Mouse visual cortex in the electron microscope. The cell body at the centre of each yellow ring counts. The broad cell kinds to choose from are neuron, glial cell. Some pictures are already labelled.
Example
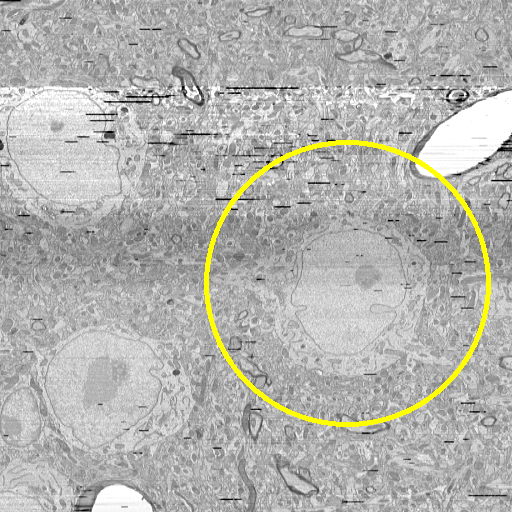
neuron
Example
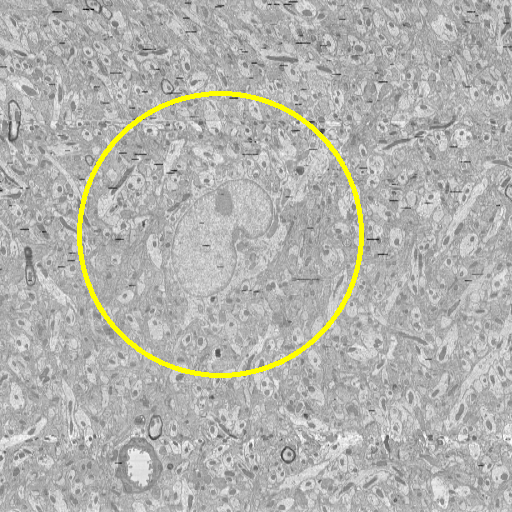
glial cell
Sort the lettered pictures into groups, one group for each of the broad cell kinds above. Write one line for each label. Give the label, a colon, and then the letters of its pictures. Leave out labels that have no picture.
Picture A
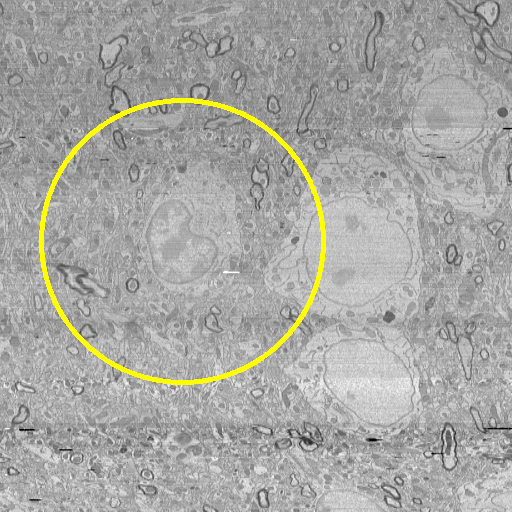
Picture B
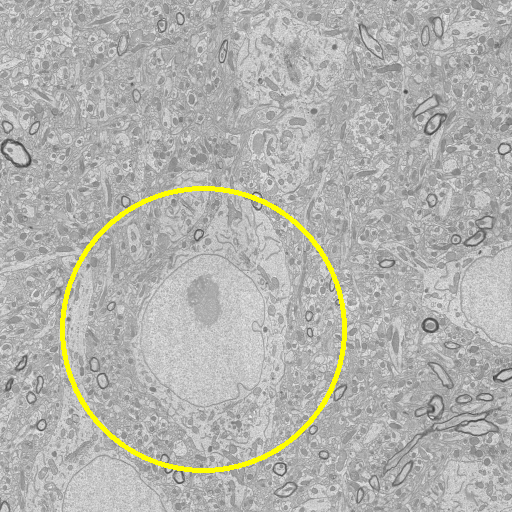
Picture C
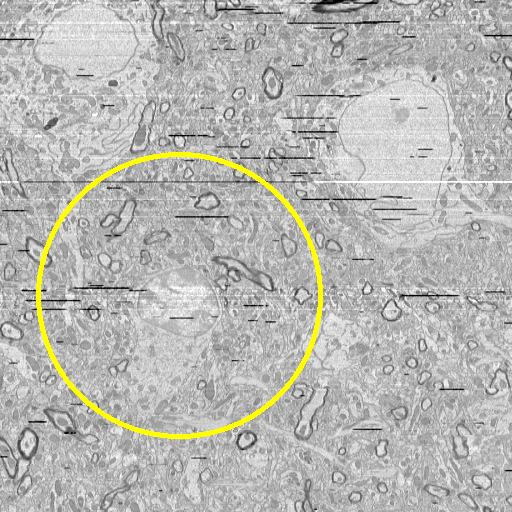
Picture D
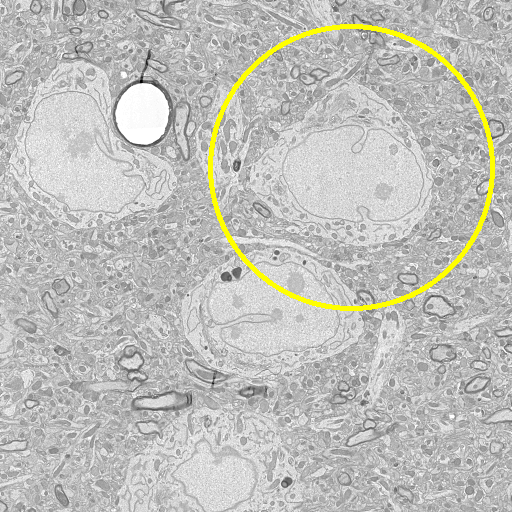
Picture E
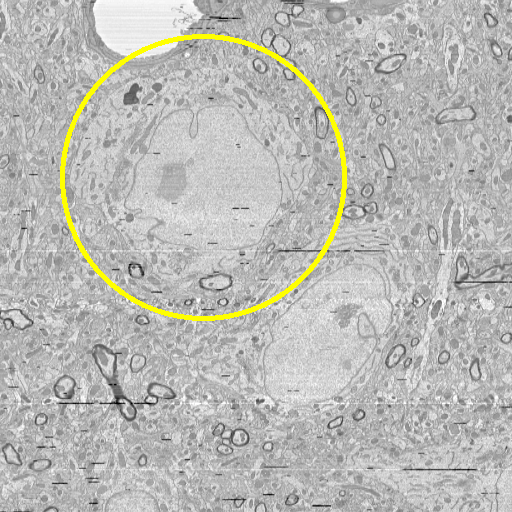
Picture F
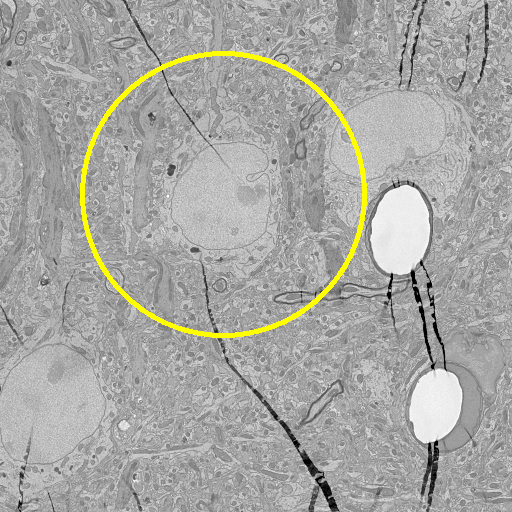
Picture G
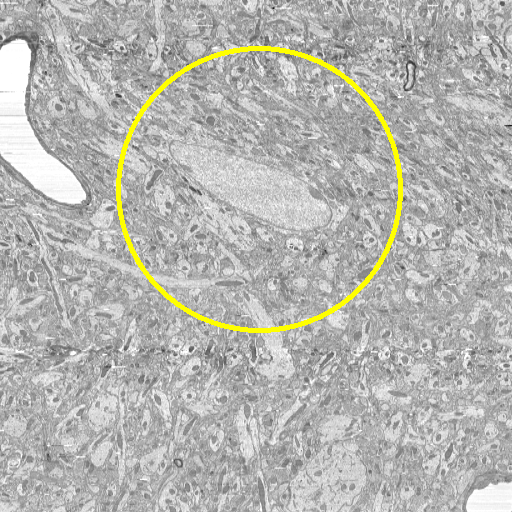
neuron: B, D, E, F
glial cell: A, C, G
